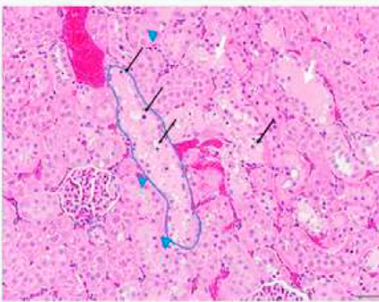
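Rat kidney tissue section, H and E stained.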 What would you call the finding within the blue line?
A: A highly vacuolated tubule.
